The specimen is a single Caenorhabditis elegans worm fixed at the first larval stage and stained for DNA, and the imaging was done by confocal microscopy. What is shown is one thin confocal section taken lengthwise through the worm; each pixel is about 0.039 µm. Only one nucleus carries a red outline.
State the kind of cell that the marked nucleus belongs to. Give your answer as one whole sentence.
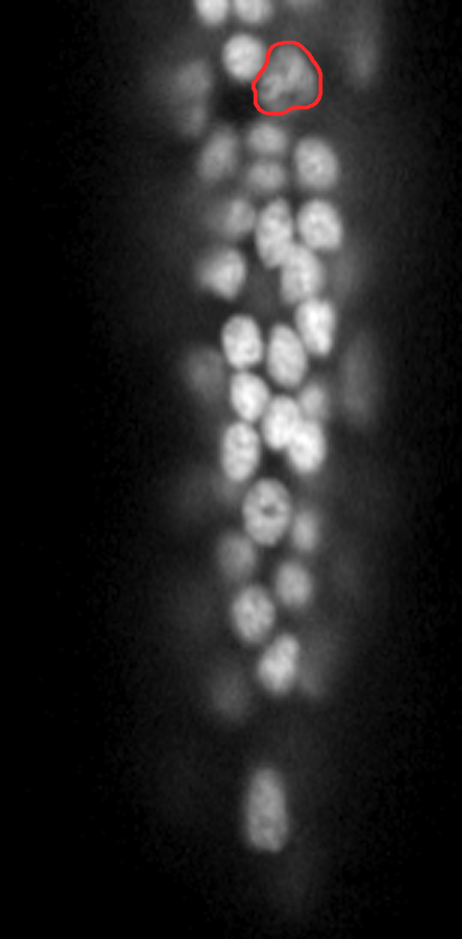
What is marked is the nucleus of a seam cell.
